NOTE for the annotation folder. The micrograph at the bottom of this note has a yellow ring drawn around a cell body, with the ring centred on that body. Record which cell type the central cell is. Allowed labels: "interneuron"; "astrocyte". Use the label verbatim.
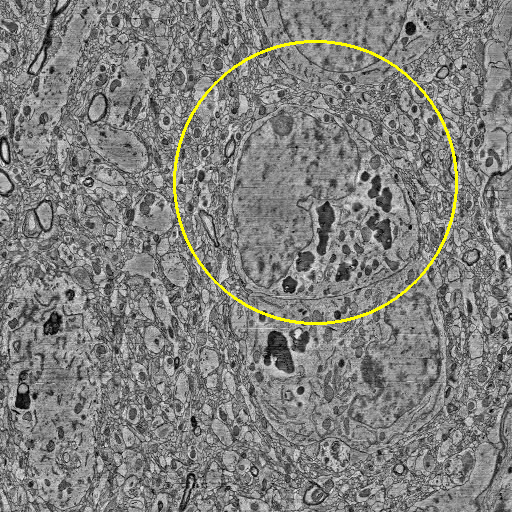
interneuron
